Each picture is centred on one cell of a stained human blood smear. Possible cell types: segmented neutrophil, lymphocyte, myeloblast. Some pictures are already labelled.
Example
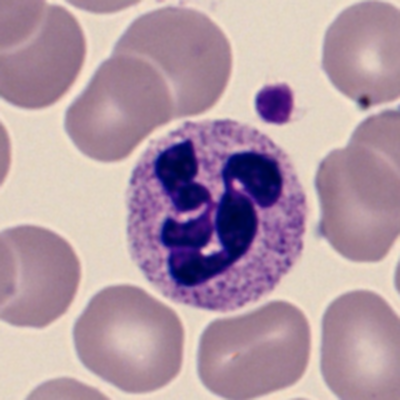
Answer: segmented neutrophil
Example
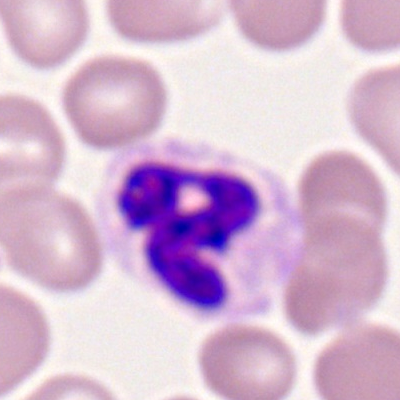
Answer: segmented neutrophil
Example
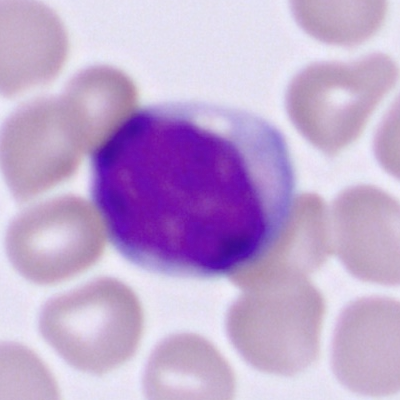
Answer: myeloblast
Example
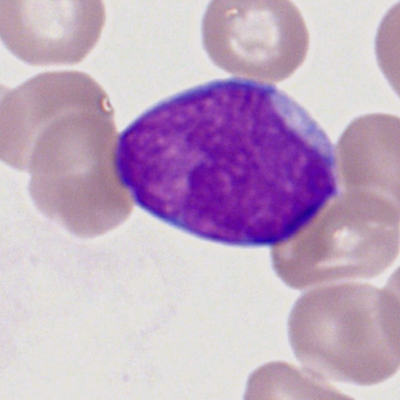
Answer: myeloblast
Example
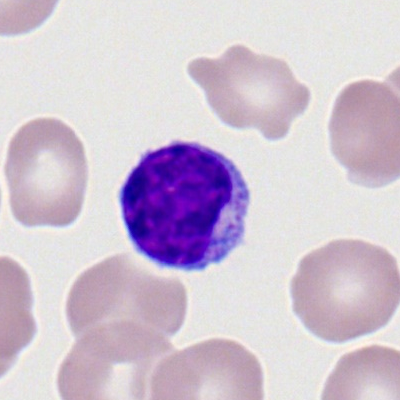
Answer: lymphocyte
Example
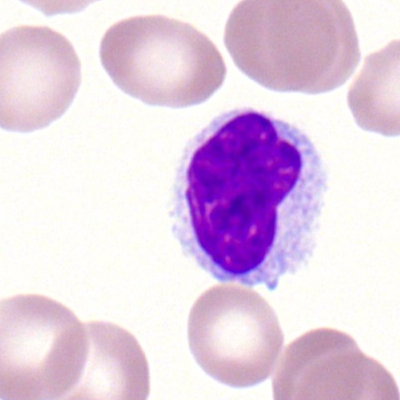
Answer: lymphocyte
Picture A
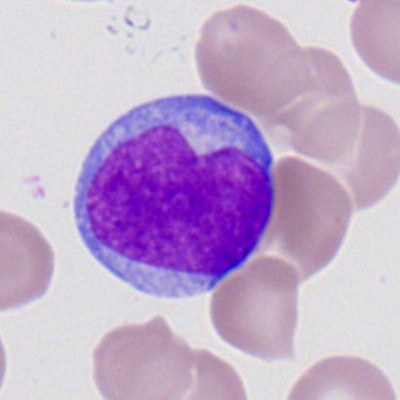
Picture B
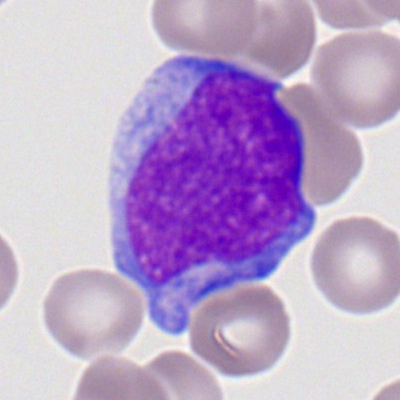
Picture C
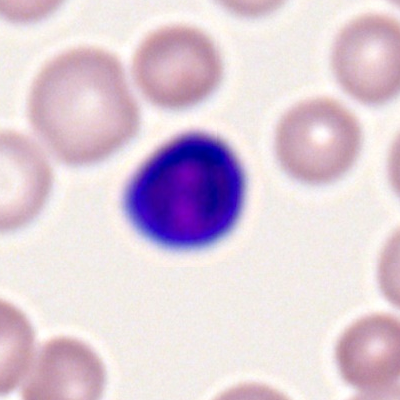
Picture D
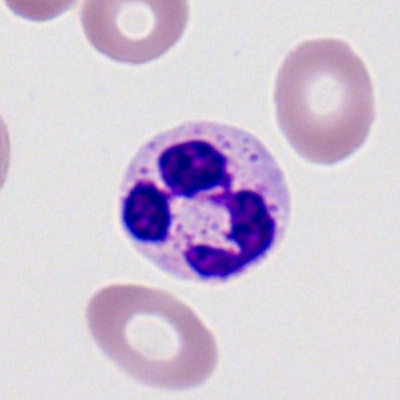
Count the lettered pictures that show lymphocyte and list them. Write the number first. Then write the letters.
1: C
